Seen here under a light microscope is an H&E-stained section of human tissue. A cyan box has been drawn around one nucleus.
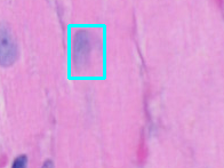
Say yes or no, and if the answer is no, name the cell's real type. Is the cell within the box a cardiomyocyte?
Yes.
